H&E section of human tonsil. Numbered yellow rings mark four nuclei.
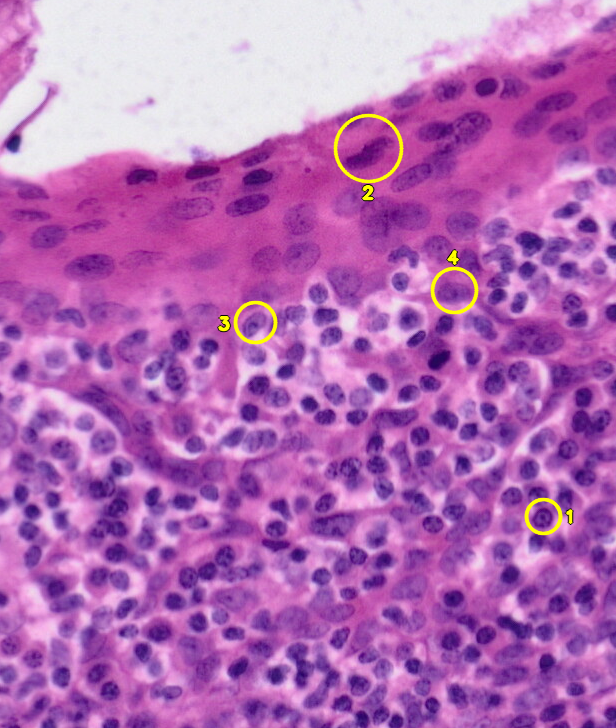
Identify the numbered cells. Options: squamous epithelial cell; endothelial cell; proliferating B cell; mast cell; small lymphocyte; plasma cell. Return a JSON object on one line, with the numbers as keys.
{"1": "plasma cell", "2": "squamous epithelial cell", "3": "squamous epithelial cell", "4": "squamous epithelial cell"}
